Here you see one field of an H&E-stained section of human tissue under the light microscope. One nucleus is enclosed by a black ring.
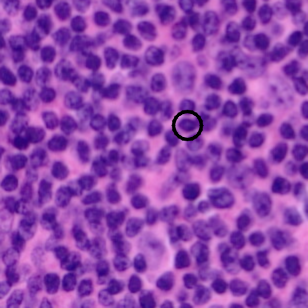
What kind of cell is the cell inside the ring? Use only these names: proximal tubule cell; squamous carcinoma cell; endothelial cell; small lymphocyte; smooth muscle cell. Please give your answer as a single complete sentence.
Speaking plainly, the cell inside the ring is nothing other than a small lymphocyte.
